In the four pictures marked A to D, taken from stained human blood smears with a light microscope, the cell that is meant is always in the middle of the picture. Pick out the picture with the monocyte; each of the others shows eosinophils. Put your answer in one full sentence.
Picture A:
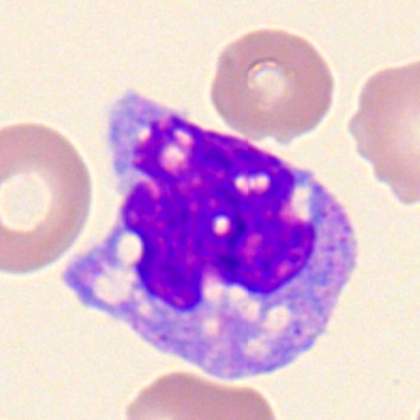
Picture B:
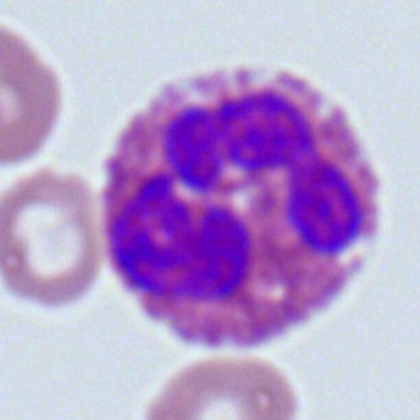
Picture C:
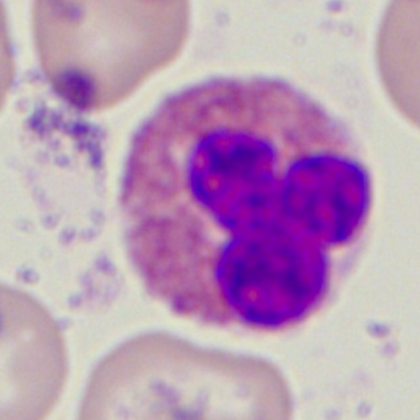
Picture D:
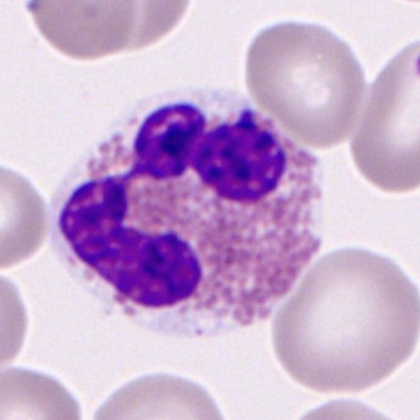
Picture A is the one that shows the monocyte.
